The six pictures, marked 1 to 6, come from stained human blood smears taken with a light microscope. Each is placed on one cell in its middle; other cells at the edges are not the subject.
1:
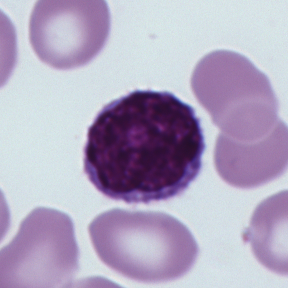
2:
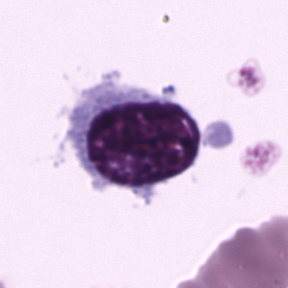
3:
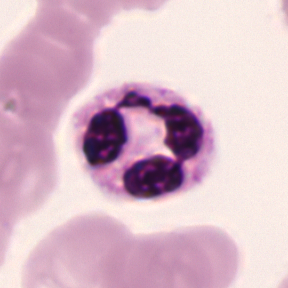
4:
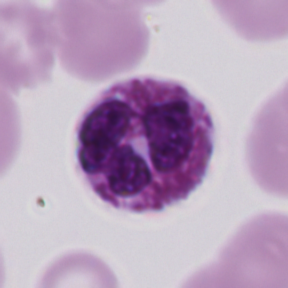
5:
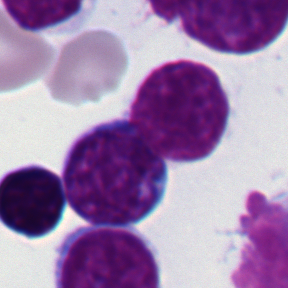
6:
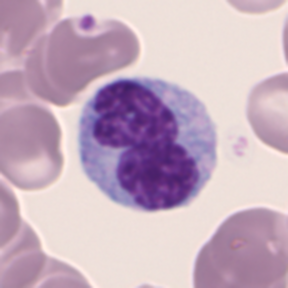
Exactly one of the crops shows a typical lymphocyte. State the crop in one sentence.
The crop showing a typical lymphocyte in this series is crop 1.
